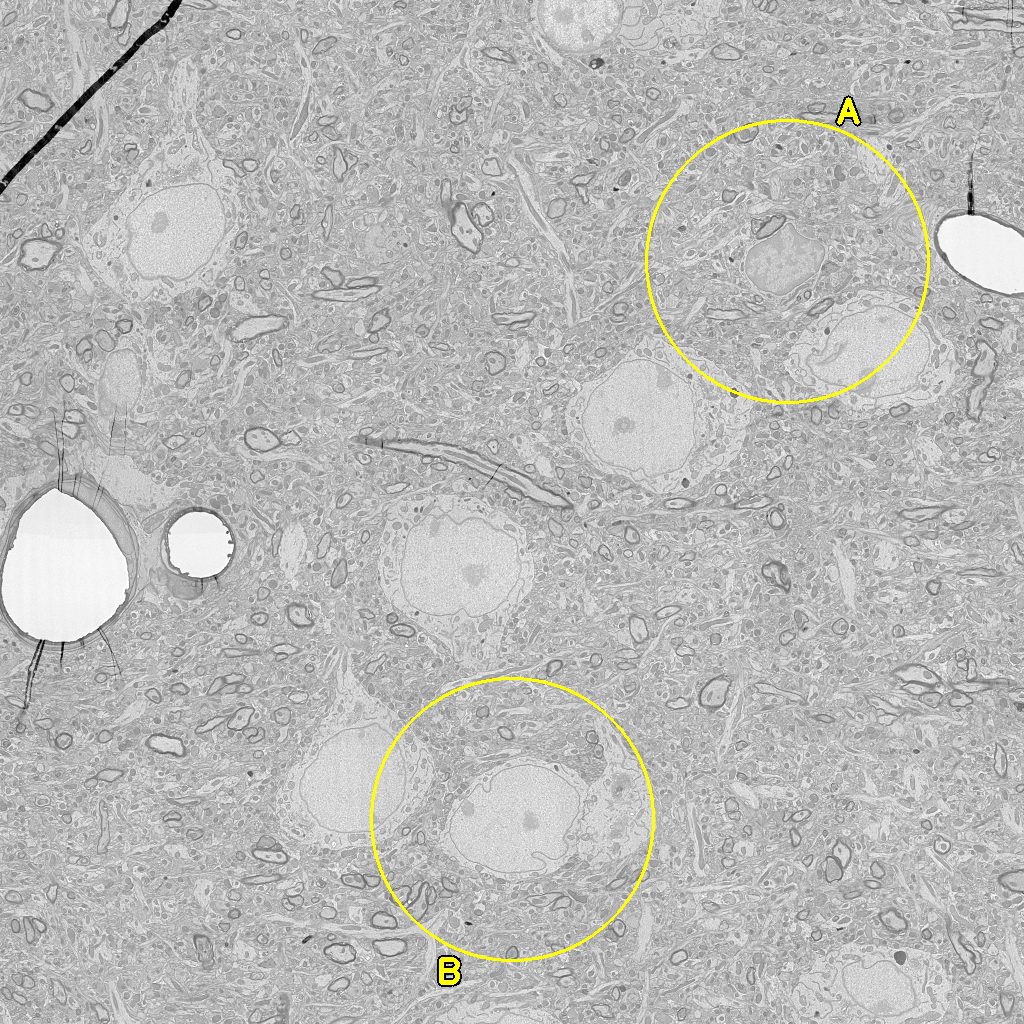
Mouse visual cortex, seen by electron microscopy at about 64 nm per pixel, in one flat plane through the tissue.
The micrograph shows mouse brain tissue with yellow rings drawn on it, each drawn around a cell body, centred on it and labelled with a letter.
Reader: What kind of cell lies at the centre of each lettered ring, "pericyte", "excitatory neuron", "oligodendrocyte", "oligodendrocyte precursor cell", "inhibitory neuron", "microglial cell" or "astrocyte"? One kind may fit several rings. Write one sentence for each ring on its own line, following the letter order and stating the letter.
At the centre of ring A lies a microglial cell.
At the centre of ring B lies an excitatory neuron.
